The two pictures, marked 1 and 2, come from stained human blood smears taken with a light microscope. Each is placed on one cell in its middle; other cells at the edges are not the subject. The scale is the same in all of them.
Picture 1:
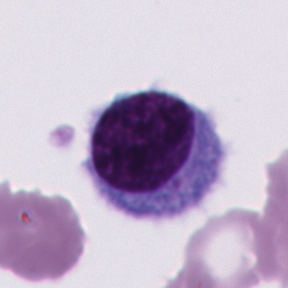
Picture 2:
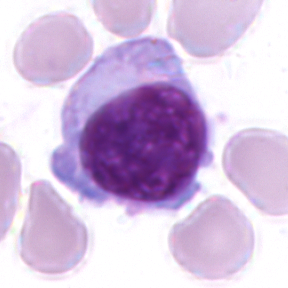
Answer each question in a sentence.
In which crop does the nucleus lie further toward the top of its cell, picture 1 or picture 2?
The nucleus in picture 1 lies further toward the top of its cell.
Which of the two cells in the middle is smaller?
The cell in picture 1 is smaller; the one in picture 2 has about 1.5 times its area.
